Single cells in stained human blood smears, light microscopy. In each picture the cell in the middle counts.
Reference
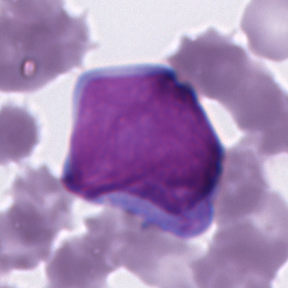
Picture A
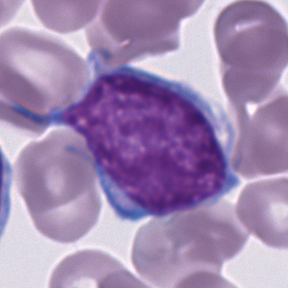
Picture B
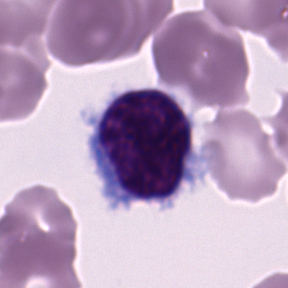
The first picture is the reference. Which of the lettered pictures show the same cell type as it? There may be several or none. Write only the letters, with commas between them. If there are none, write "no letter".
A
